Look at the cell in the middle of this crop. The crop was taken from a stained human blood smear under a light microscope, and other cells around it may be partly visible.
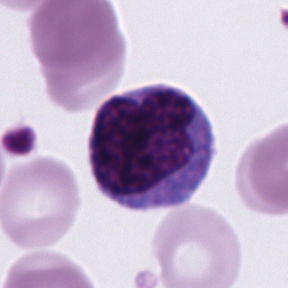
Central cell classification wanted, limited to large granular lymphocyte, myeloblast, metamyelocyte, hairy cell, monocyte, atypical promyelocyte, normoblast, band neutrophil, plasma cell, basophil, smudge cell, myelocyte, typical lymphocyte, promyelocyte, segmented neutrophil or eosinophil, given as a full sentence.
Looking at the middle of the crop, the cell there is a monocyte.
